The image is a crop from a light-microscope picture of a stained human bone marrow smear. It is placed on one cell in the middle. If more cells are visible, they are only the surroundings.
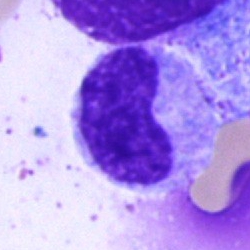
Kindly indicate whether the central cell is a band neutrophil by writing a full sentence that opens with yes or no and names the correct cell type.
No; rather than a band neutrophil, the cell at the center is a metamyelocyte.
